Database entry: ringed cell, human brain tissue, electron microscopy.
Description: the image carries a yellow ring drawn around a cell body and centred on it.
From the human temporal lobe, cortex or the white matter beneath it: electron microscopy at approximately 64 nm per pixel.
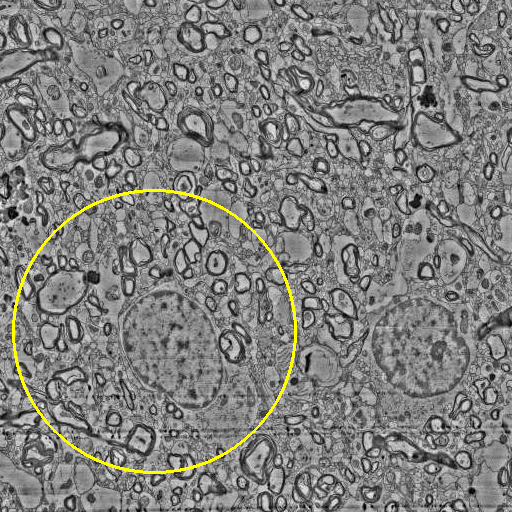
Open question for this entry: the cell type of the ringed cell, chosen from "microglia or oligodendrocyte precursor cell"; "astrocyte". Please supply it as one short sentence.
The ringed cell is a microglial cell or oligodendrocyte precursor cell.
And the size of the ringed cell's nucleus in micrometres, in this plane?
The nucleus is approximately 8 micrometers long by 6 micrometers wide in this plane.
